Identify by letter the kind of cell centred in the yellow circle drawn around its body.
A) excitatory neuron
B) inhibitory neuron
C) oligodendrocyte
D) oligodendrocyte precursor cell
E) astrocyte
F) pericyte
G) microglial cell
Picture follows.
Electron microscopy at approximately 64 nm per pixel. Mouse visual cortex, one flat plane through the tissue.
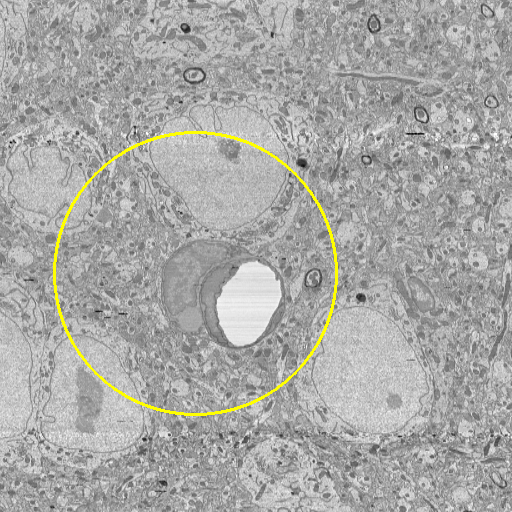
G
